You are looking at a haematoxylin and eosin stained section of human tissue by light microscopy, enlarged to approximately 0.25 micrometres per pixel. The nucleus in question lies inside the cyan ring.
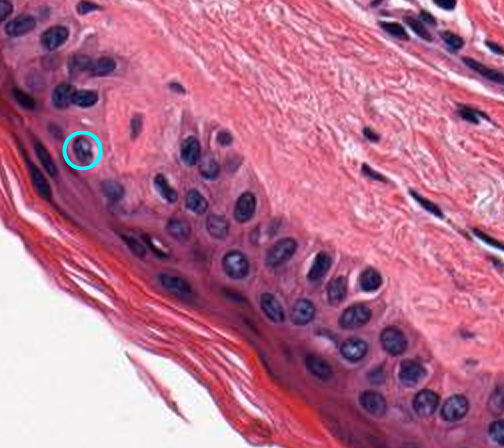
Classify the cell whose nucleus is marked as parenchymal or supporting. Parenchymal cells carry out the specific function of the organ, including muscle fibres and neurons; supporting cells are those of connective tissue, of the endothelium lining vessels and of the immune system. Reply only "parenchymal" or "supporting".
parenchymal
